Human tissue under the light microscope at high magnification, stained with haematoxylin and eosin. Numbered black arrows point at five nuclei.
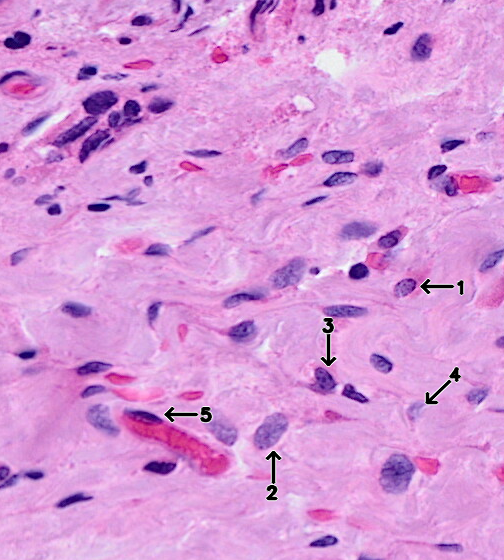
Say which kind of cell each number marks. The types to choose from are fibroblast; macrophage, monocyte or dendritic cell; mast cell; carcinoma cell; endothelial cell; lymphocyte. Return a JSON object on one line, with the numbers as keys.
{"1": "mast cell", "2": "fibroblast", "3": "mast cell", "4": "fibroblast", "5": "endothelial cell"}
